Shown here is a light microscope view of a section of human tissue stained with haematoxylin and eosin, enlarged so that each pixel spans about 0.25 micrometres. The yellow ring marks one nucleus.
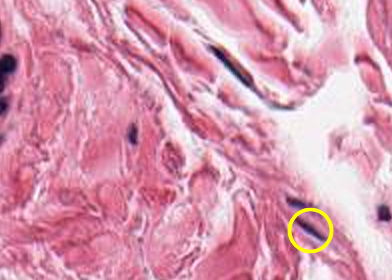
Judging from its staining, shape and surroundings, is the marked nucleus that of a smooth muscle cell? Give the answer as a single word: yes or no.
no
